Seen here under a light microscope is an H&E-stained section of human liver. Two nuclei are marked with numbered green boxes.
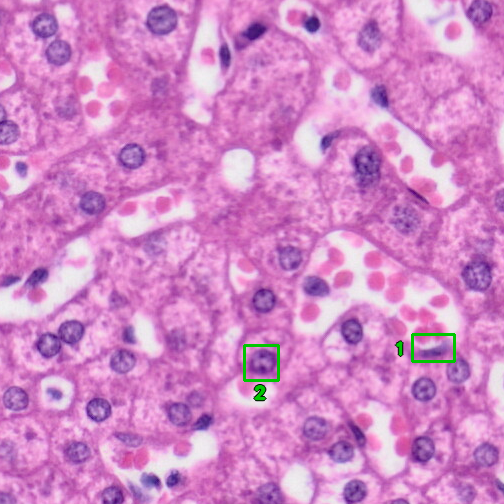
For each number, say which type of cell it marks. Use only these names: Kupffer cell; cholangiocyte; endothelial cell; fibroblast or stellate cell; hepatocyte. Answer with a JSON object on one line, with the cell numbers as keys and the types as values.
{"1": "endothelial cell", "2": "hepatocyte"}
